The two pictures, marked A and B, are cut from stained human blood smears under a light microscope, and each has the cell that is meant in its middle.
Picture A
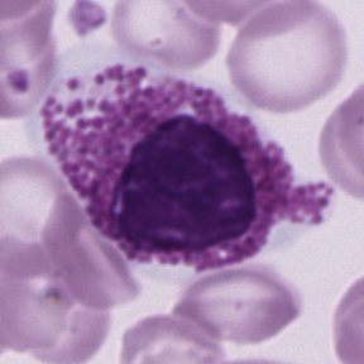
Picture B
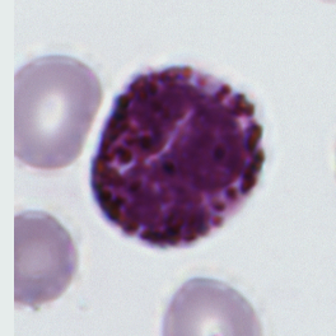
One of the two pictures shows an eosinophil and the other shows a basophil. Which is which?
A: eosinophil
B: basophil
